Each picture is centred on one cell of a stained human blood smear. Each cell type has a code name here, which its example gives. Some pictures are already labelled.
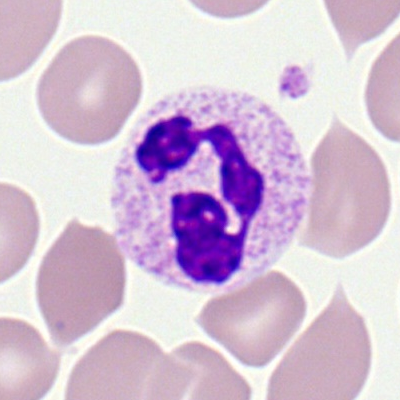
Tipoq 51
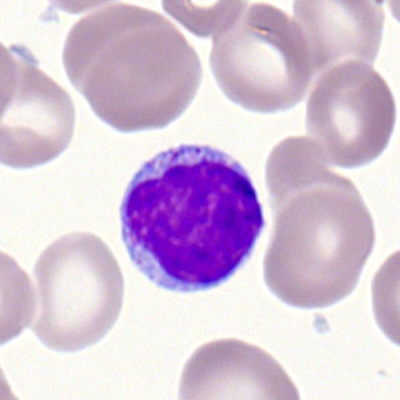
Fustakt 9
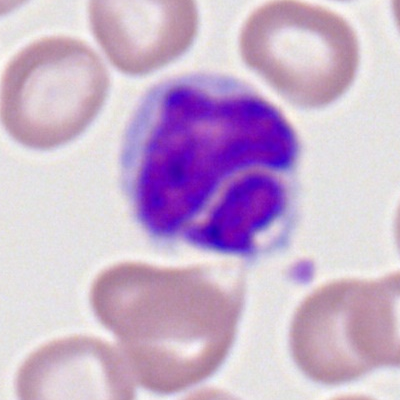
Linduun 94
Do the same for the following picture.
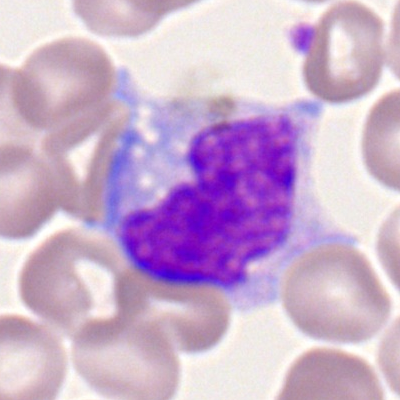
Linduun 94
